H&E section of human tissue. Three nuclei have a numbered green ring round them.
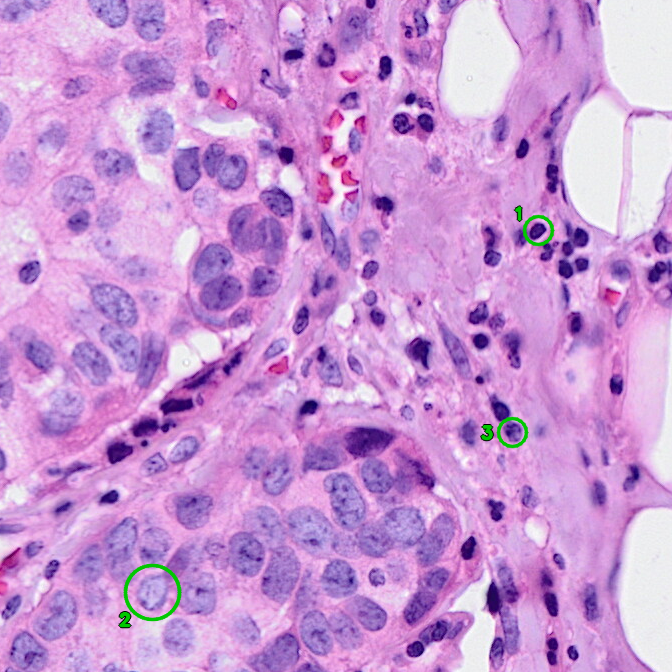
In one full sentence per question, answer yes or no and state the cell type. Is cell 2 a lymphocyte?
No, the cell identified by number 2 is a carcinoma cell, not a lymphocyte.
